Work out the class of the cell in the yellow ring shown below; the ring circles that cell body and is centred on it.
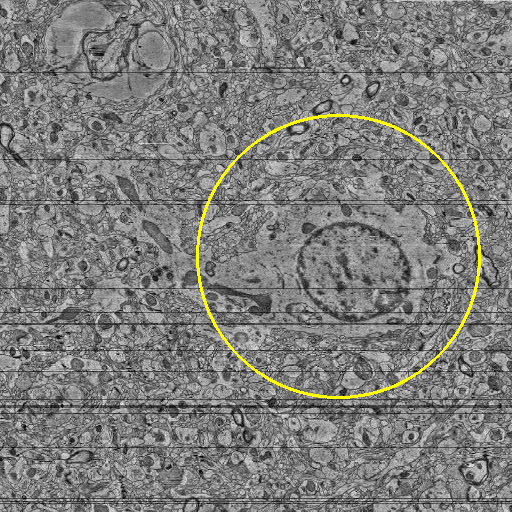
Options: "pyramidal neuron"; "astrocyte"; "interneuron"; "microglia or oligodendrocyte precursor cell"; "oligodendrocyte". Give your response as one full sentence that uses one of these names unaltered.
The body ringed in yellow, right at the ring's centre, is that of an astrocyte.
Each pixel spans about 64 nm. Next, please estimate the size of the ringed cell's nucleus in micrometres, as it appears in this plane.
The nucleus measures about 7 micrometers across in this plane.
